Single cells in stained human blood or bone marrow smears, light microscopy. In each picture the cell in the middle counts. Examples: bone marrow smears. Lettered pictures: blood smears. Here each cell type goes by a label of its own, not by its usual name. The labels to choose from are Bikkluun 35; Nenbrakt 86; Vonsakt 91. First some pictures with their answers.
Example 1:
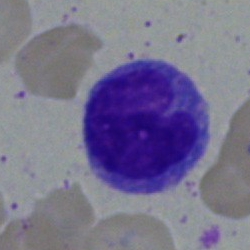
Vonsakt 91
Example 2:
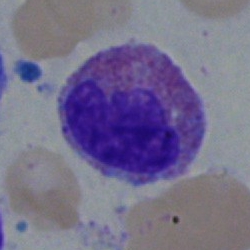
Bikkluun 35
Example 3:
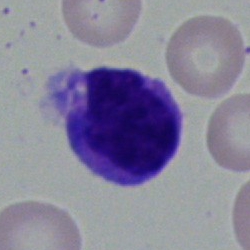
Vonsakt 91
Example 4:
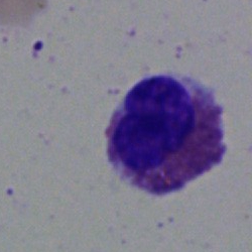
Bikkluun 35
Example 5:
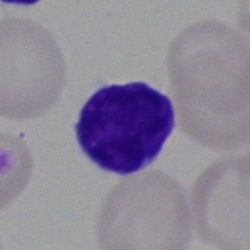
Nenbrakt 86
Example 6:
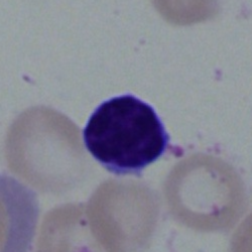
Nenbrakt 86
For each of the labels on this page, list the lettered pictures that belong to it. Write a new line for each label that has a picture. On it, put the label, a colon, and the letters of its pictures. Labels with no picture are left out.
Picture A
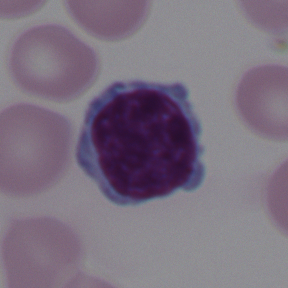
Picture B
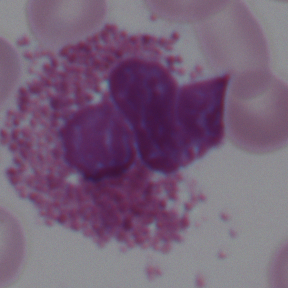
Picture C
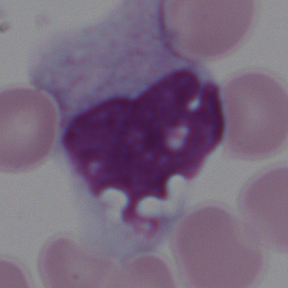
Bikkluun 35: B
Nenbrakt 86: A
Vonsakt 91: C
